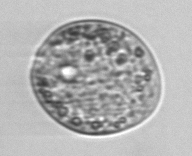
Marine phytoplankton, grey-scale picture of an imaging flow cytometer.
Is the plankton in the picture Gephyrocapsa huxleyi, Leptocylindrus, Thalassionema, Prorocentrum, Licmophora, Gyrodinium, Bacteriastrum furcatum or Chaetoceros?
It is Prorocentrum.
